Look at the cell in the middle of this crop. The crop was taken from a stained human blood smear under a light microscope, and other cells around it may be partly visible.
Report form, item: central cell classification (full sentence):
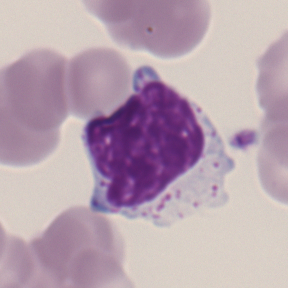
The cell around which this crop is centred is a large granular lymphocyte.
